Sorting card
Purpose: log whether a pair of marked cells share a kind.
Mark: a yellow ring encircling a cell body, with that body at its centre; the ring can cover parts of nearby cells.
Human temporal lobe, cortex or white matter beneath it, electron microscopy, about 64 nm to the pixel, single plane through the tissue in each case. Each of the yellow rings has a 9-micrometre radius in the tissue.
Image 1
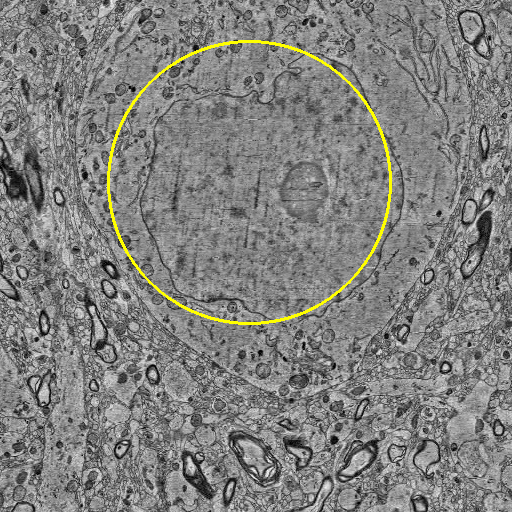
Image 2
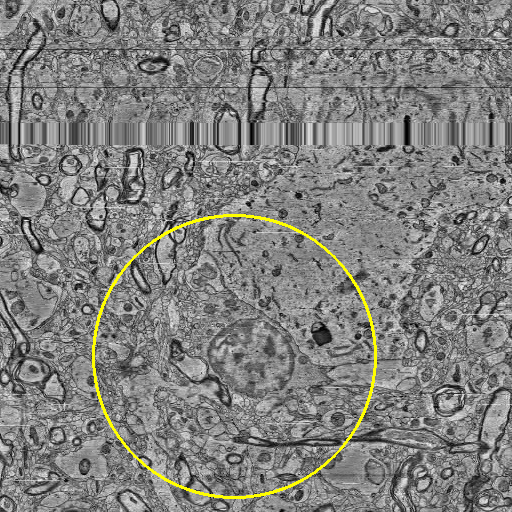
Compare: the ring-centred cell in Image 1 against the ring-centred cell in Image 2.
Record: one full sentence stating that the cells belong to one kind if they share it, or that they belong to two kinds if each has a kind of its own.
Across Images 1 and 2, the two ring-centred cells belong to two kinds.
